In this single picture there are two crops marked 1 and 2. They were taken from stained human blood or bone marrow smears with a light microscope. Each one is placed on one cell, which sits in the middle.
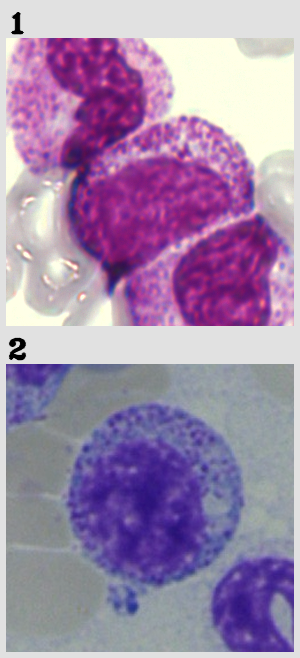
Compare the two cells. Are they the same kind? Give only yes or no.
yes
